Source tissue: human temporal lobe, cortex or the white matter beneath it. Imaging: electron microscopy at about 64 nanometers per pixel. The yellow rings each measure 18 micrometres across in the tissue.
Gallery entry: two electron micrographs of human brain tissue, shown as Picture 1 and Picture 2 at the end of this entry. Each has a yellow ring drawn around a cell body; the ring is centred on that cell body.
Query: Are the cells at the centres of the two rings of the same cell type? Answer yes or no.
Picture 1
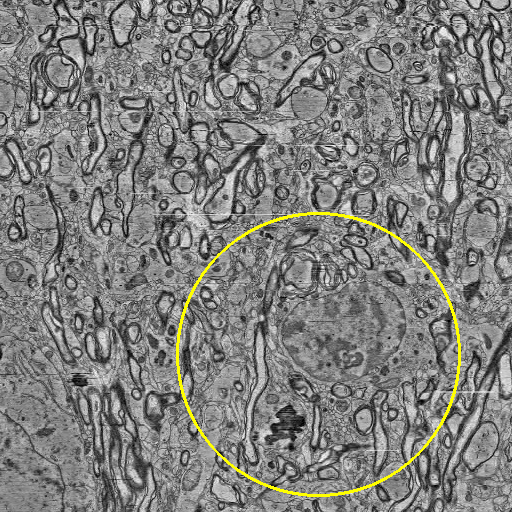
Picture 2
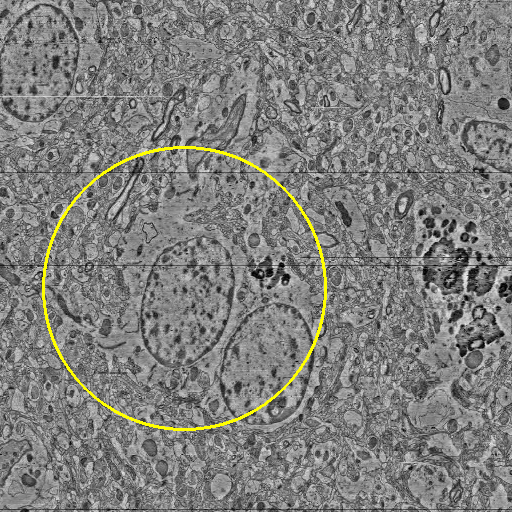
no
